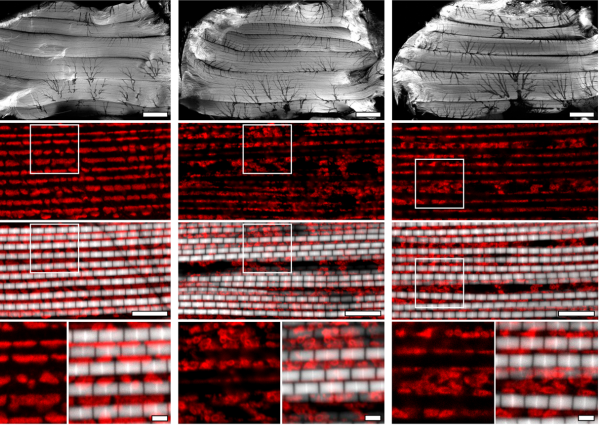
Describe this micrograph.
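At low magnification, the grey-stained muscle forms large fibres crossed by dark branching tubes. At higher magnification, grey myofibrils run in parallel rows with a regular repeating striation. Enlarged views show the red bodies as smaller, irregular clusters in some columns, and as longer, more continuous rows in others.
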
